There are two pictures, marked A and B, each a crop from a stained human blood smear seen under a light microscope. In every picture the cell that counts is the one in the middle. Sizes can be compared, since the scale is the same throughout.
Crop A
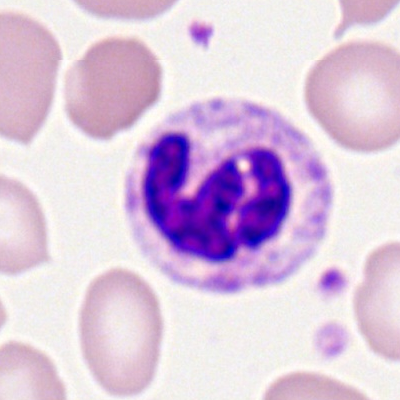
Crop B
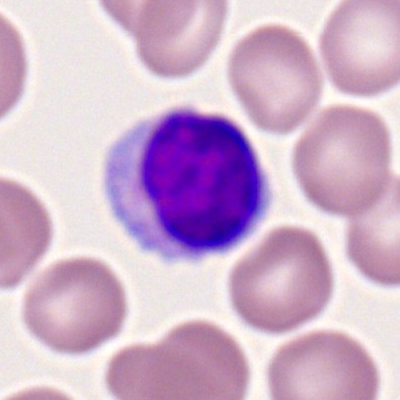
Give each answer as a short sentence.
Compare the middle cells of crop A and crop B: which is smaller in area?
The cell in crop B is smaller; the one in crop A has about 1.5 times its area.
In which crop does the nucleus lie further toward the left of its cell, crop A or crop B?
Seen within its cell, the nucleus in crop A lies further toward the left.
